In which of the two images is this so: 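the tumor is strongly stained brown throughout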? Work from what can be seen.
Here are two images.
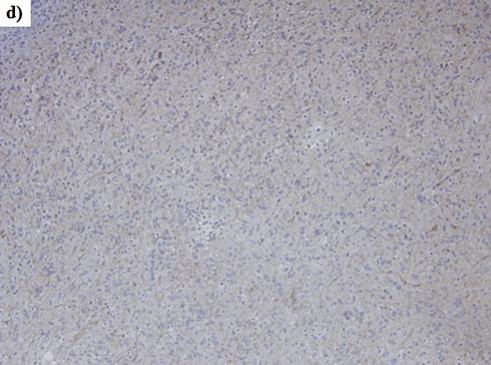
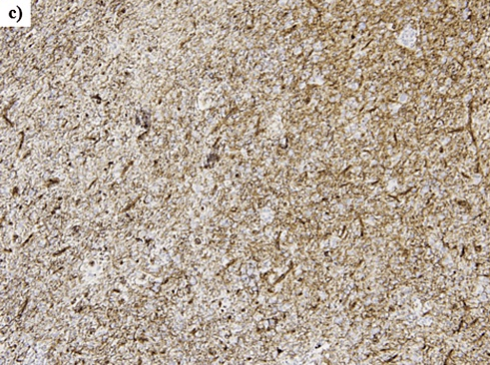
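First image: the tissue is mostly blue with only a faint brownish tinge. Second image: dense brown staining covers the field, with brown fibrillary and vessel-like profiles.
Conclusion: the second image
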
